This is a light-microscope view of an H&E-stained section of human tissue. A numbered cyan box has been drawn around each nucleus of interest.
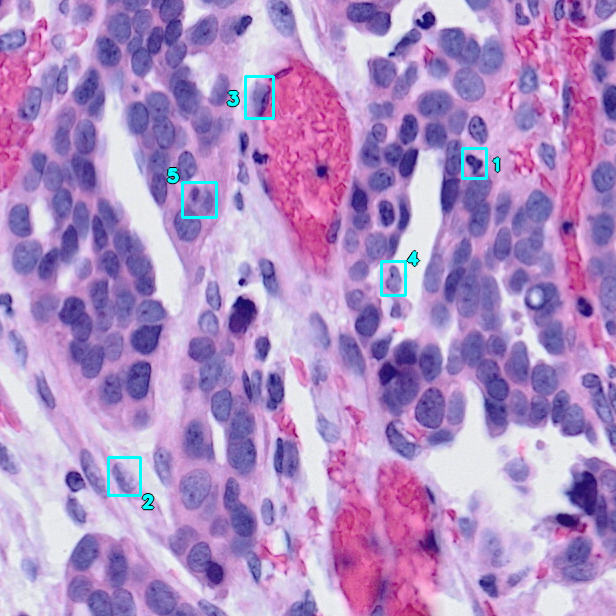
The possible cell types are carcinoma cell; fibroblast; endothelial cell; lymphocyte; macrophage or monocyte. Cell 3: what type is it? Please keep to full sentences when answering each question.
Cell 3 of the marked set is an endothelial cell.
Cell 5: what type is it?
The marked cell bearing number 5 is a carcinoma cell.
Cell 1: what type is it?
Identified by the number 1, the cell is a lymphocyte.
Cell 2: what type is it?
It is as a fibroblast that the cell numbered 2 is identified.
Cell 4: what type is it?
The cell given label 4 is a macrophage or monocyte.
